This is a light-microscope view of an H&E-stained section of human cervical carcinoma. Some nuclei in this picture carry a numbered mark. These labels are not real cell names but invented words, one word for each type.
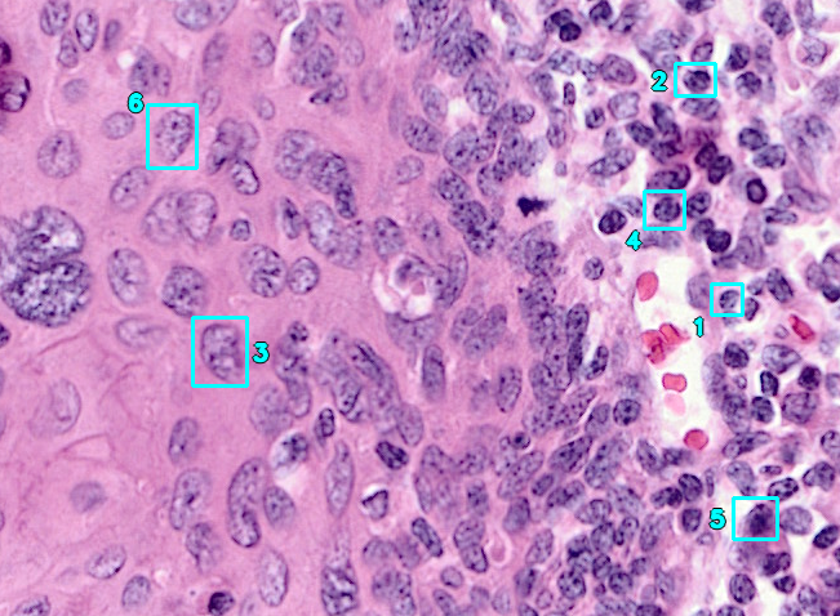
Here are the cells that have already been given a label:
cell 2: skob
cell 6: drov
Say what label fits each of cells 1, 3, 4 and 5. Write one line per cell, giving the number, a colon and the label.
1: skob
3: drov
4: skob
5: skob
